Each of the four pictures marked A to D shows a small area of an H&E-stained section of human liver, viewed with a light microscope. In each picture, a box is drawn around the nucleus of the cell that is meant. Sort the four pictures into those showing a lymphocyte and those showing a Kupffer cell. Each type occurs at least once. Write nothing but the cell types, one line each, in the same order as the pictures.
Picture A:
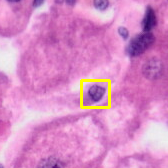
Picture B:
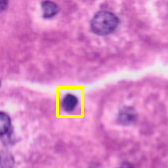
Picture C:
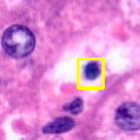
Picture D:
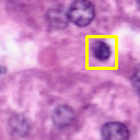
Kupffer cell
lymphocyte
lymphocyte
lymphocyte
